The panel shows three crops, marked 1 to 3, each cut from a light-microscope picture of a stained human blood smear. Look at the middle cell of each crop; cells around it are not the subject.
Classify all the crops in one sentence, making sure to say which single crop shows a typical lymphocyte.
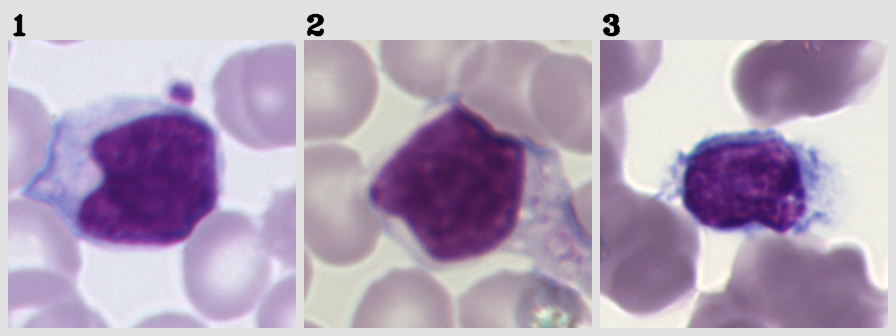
The middle of crop 1 is occupied by a typical lymphocyte, while crop 2 is a large granular lymphocyte and crop 3 is a hairy cell.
